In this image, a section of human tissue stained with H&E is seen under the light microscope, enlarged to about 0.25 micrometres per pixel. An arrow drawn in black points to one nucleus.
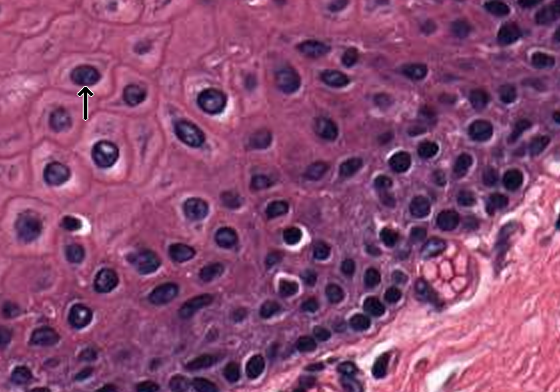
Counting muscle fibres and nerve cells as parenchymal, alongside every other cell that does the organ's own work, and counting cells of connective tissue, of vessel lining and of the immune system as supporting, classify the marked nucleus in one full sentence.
The marked nucleus belongs to the parenchyma, being the nucleus of a squamous epithelial cell.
